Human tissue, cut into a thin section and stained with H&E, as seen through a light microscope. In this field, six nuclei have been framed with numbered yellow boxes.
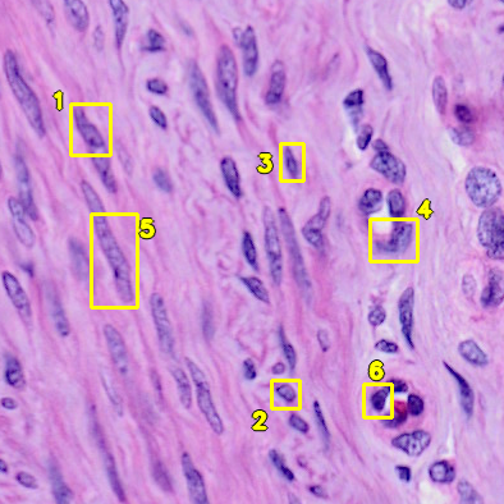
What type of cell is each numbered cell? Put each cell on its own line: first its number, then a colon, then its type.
1: smooth muscle cell
2: smooth muscle cell
3: smooth muscle cell
4: endothelial cell
5: smooth muscle cell
6: endothelial cell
